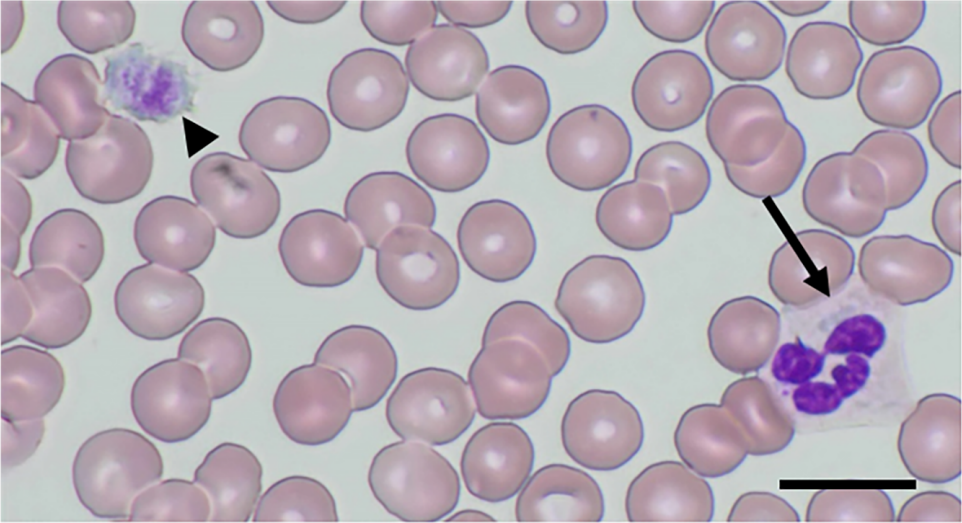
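A peripheral blood smear with many pink, round red blood cells with central pallor, a neutrophil and a giant platelet. At the lower right lies a neutrophil with a dark purple nucleus divided into several lobes and pale, finely granular cytoplasm; a faint bluish inclusion sits in its cytoplasm, a Döhle-like body. At the upper left lies an anucleate fragment with a cluster of purple granules in a pale bluish rim, about as large as the red cells beside it: a giant platelet. The red cells are fairly uniform, some overlapping.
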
